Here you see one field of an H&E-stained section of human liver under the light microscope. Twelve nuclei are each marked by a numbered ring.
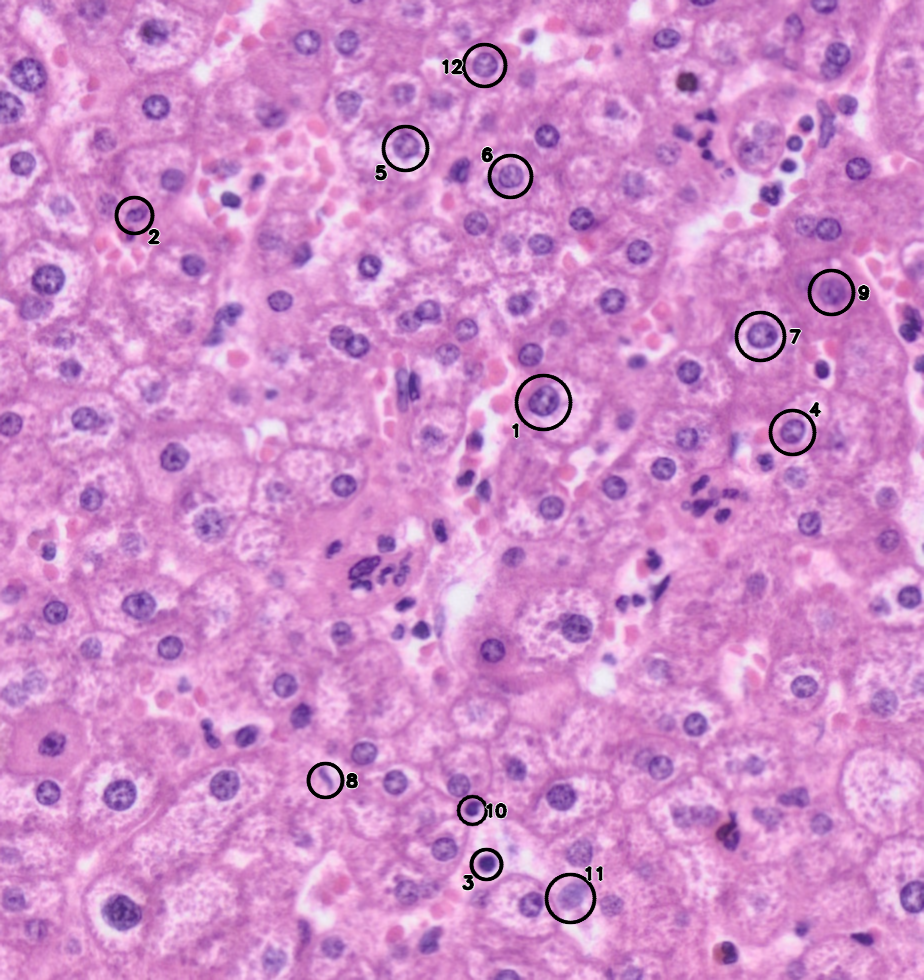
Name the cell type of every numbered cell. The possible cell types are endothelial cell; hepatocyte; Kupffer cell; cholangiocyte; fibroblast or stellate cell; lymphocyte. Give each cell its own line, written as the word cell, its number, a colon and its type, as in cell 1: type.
cell 1: hepatocyte
cell 2: fibroblast or stellate cell
cell 3: lymphocyte
cell 4: hepatocyte
cell 5: hepatocyte
cell 6: hepatocyte
cell 7: hepatocyte
cell 8: endothelial cell
cell 9: hepatocyte
cell 10: fibroblast or stellate cell
cell 11: endothelial cell
cell 12: hepatocyte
